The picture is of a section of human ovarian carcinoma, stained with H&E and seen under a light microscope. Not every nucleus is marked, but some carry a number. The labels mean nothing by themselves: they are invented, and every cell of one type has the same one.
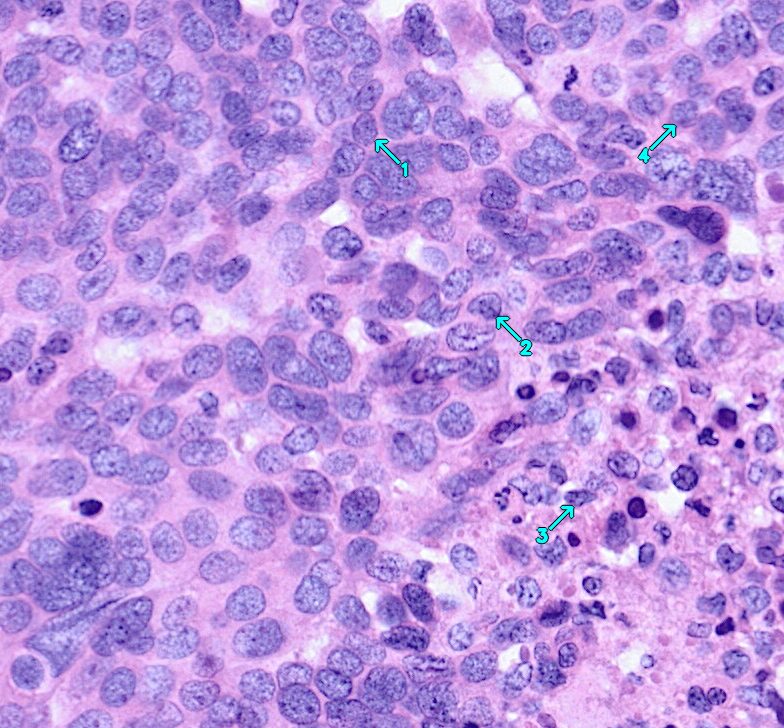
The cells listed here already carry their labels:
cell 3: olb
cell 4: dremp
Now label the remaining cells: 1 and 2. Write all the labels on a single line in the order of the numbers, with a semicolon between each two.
dremp; olb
